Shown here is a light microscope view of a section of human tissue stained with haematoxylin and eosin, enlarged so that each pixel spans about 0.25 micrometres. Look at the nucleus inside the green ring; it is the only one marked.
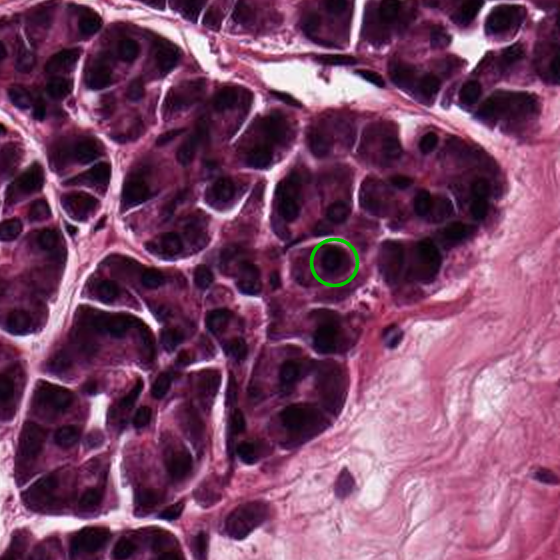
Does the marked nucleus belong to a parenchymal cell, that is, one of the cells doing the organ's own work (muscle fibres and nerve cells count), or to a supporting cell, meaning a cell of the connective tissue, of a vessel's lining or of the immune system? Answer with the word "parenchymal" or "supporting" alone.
parenchymal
